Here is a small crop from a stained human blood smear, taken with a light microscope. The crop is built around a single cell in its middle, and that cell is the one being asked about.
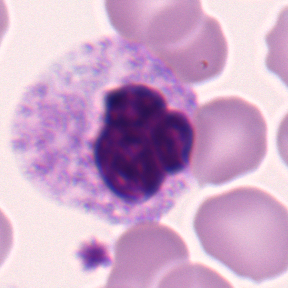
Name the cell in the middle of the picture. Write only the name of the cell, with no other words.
segmented neutrophil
